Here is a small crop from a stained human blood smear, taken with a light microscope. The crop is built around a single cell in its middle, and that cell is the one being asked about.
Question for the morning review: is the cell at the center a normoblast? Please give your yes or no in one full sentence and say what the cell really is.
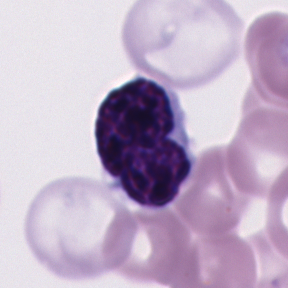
Yes, the identification of the central cell as a normoblast is correct.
